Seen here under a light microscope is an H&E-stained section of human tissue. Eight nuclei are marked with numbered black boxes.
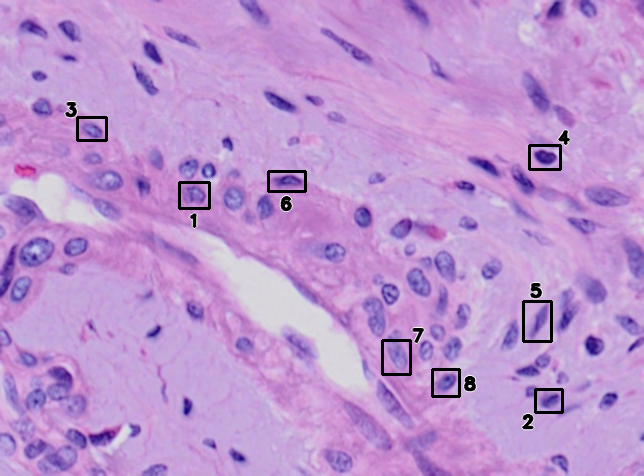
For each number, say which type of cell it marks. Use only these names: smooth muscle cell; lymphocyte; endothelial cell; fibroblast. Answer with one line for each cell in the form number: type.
1: smooth muscle cell
2: fibroblast
3: smooth muscle cell
4: lymphocyte
5: fibroblast
6: smooth muscle cell
7: smooth muscle cell
8: smooth muscle cell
